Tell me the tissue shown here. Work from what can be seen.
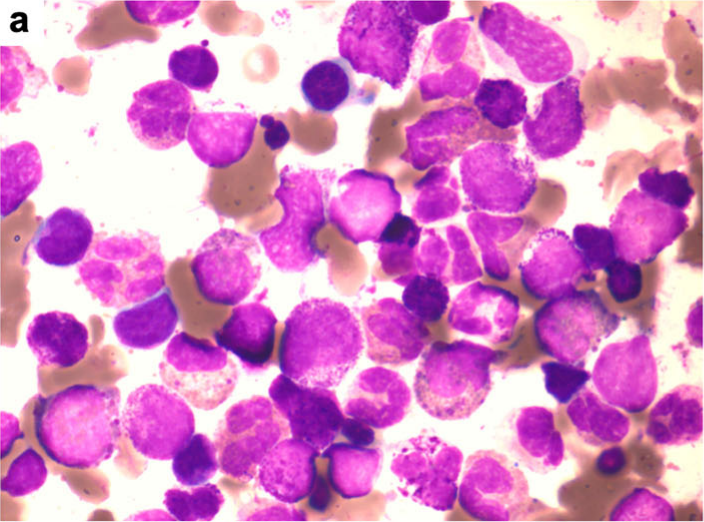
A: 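Bone marrow. The field is densely packed with nucleated cells. Many large cells have abundant granular pink-purple cytoplasm. Only a few red cells lie between the nucleated cells.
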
